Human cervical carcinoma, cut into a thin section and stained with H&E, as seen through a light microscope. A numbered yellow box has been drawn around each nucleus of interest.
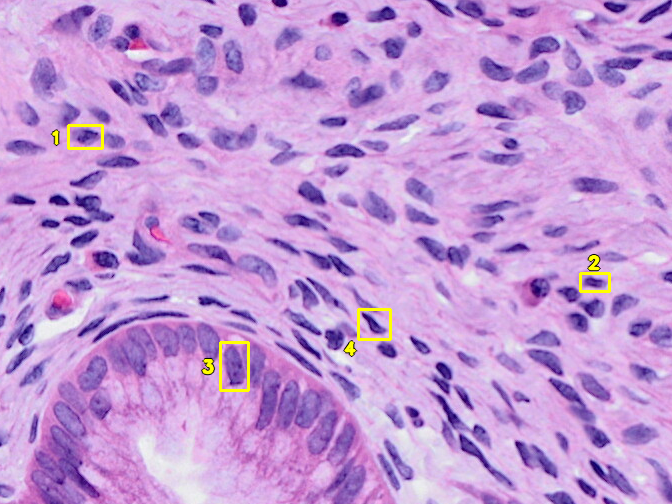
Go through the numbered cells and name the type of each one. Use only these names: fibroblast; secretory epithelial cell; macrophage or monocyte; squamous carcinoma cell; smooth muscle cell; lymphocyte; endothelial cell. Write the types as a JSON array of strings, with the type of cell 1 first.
["fibroblast", "fibroblast", "secretory epithelial cell", "fibroblast"]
